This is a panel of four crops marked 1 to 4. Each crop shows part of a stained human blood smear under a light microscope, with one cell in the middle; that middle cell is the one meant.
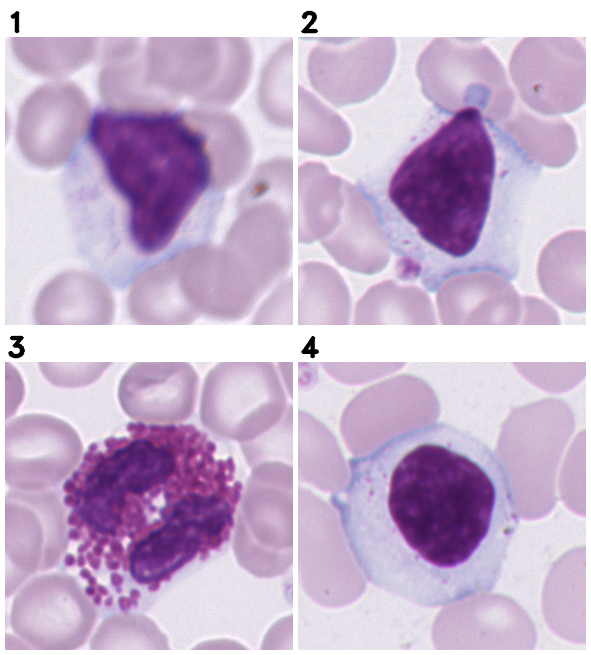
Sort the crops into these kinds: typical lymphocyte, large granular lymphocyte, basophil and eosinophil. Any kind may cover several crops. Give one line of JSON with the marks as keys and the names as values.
{"1": "large granular lymphocyte", "2": "large granular lymphocyte", "3": "eosinophil", "4": "large granular lymphocyte"}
